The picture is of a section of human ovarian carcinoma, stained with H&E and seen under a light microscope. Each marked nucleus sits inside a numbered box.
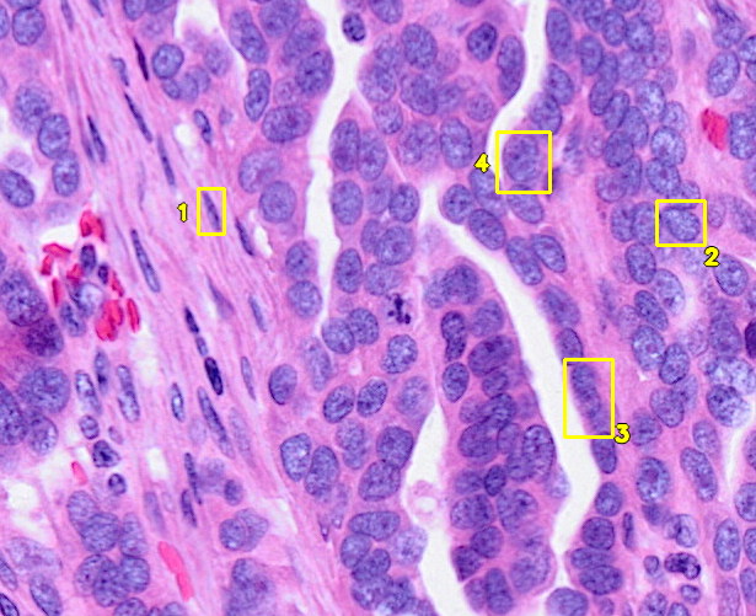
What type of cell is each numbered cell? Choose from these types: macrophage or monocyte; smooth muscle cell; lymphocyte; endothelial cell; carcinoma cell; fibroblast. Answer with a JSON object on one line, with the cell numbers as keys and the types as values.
{"1": "fibroblast", "2": "carcinoma cell", "3": "carcinoma cell", "4": "carcinoma cell"}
